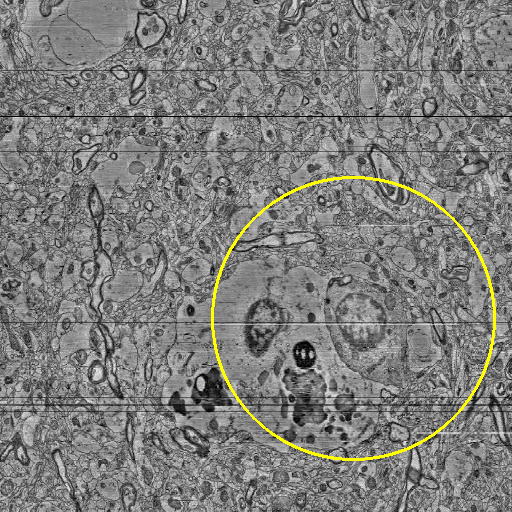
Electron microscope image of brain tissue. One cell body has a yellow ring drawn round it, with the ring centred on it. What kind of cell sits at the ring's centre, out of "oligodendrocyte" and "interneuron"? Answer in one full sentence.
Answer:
It is an oligodendrocyte whose cell body sits at the centre of the yellow ring.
